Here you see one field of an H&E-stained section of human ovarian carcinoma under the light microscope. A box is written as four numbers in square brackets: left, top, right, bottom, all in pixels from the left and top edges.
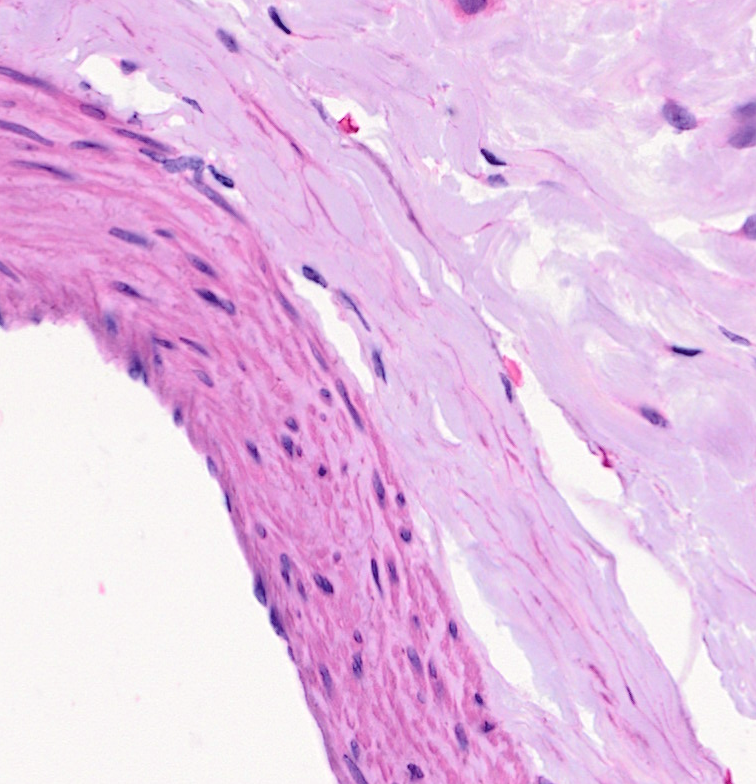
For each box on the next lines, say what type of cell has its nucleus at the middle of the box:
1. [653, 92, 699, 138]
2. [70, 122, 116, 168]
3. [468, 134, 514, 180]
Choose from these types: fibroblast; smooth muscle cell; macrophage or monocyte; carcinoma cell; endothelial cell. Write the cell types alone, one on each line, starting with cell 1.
fibroblast
smooth muscle cell
fibroblast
